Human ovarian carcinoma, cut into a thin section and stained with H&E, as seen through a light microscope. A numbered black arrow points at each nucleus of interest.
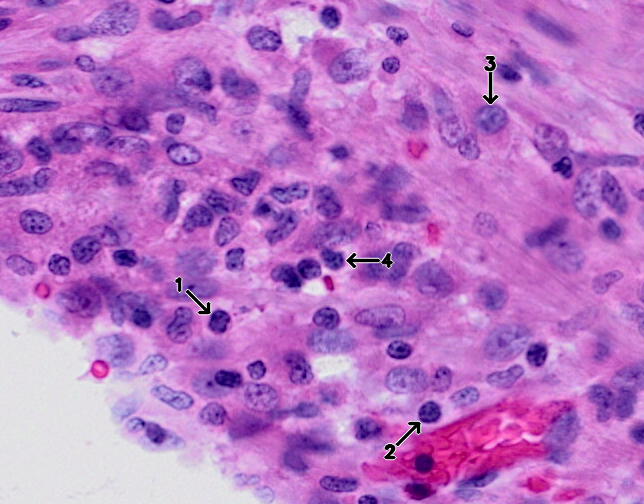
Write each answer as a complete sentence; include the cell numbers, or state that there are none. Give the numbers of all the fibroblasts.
Among all the marked cells, a fibroblast is found only at number 3.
